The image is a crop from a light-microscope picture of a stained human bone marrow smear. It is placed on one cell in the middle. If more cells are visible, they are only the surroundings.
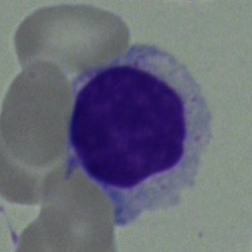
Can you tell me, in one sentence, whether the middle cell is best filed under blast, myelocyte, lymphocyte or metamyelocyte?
Looking at the middle of the crop, the cell there is a lymphocyte.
